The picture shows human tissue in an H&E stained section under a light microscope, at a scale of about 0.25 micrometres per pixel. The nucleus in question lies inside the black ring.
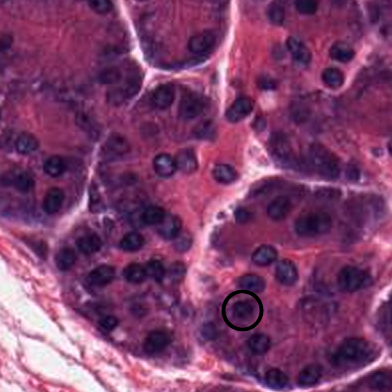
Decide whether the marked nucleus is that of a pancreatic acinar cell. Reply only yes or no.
yes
